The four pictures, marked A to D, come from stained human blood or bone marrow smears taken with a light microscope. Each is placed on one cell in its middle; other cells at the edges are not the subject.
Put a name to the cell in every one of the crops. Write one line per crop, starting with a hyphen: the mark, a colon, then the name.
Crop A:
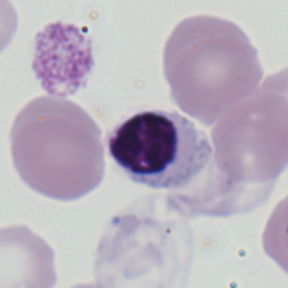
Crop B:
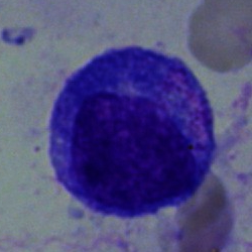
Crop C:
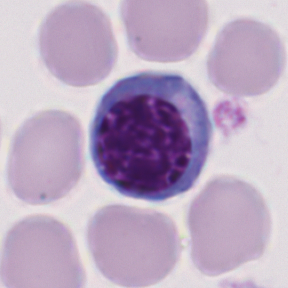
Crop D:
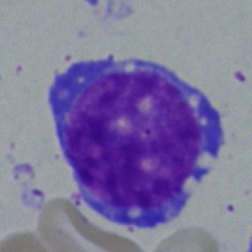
- A: erythroblast
- B: promyelocyte
- C: erythroblast
- D: blast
